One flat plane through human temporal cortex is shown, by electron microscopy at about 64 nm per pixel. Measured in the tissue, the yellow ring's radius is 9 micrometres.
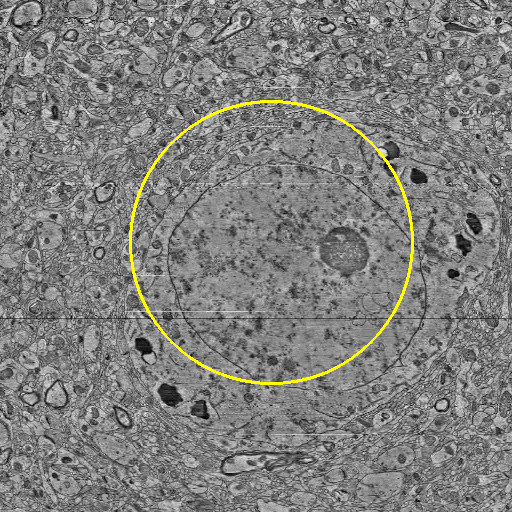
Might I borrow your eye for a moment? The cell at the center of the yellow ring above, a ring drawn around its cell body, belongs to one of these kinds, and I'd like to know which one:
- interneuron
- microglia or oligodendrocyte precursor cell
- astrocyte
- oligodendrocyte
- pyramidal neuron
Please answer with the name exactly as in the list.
pyramidal neuron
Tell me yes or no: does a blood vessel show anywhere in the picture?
No, no vessel appears in the picture.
